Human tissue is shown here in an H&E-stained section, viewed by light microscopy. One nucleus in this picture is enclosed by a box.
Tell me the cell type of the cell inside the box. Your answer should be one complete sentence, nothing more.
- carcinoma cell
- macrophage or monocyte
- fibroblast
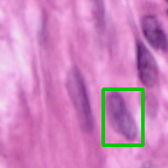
It is as a fibroblast that the cell inside the box is classified.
